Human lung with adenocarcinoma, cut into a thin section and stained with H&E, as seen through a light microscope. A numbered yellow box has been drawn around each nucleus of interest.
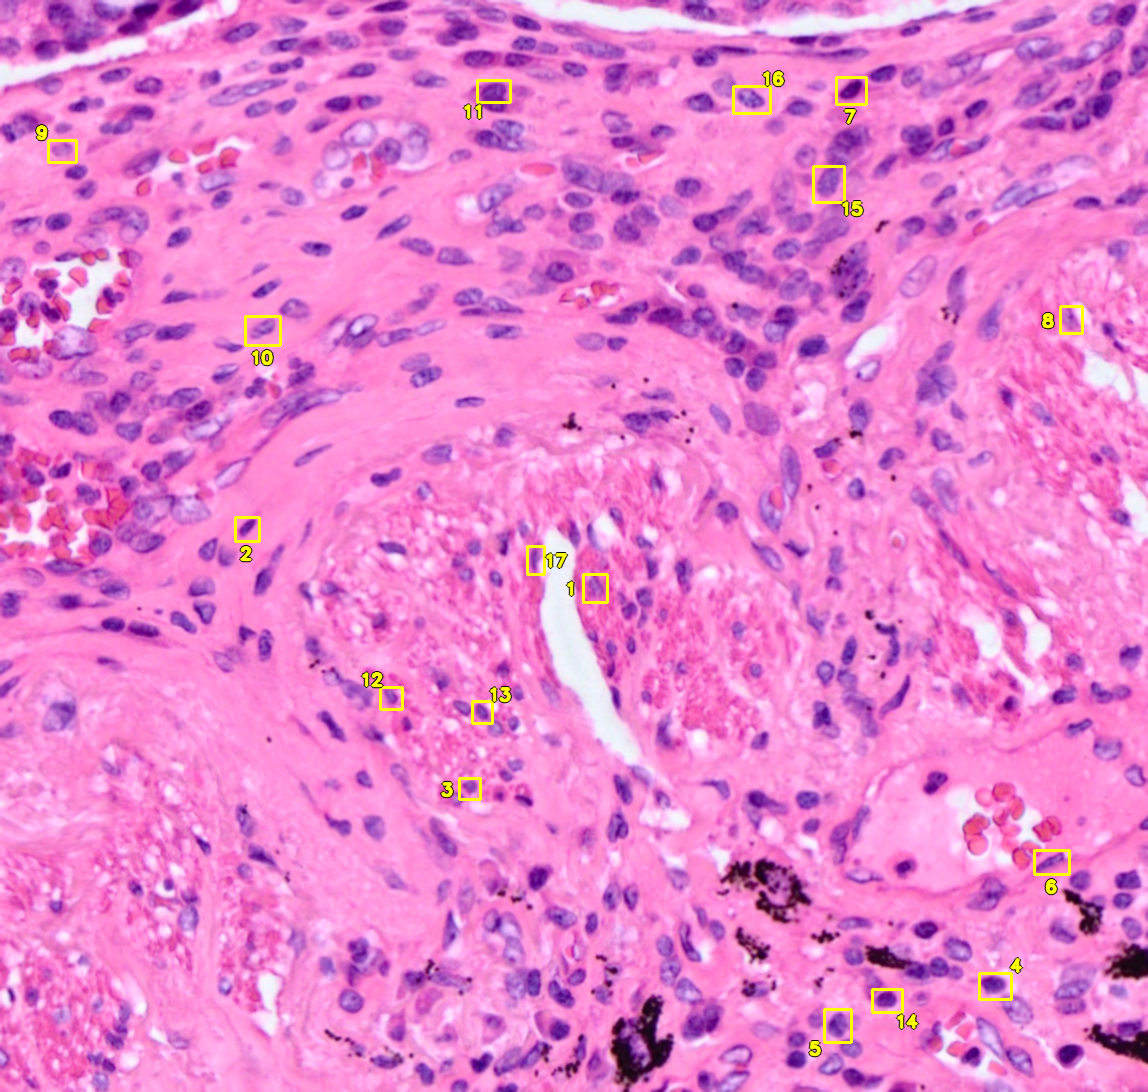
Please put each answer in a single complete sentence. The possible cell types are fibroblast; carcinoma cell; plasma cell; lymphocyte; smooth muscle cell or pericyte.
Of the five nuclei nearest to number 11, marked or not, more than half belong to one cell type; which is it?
Most of the five nuclei nearest to number 11 are those of plasma cells.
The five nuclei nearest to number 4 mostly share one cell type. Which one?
Fibroblasts make up most of the five nuclei closest to number 4.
